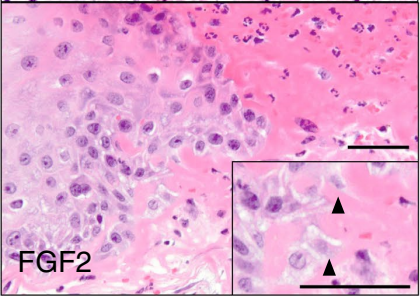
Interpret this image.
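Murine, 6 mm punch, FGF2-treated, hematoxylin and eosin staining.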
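This is the edge of a healing skin wound where a sheet of keratinocytes with round to oval purple nuclei and pale pink cytoplasm advances into the wound. To the right and below the epithelial cells lies a dense, homogeneous pink matrix with scattered small nuclei. At the margin of the sheet some cells become elongated and spindle-shaped, loosening from the cohesive layer.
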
